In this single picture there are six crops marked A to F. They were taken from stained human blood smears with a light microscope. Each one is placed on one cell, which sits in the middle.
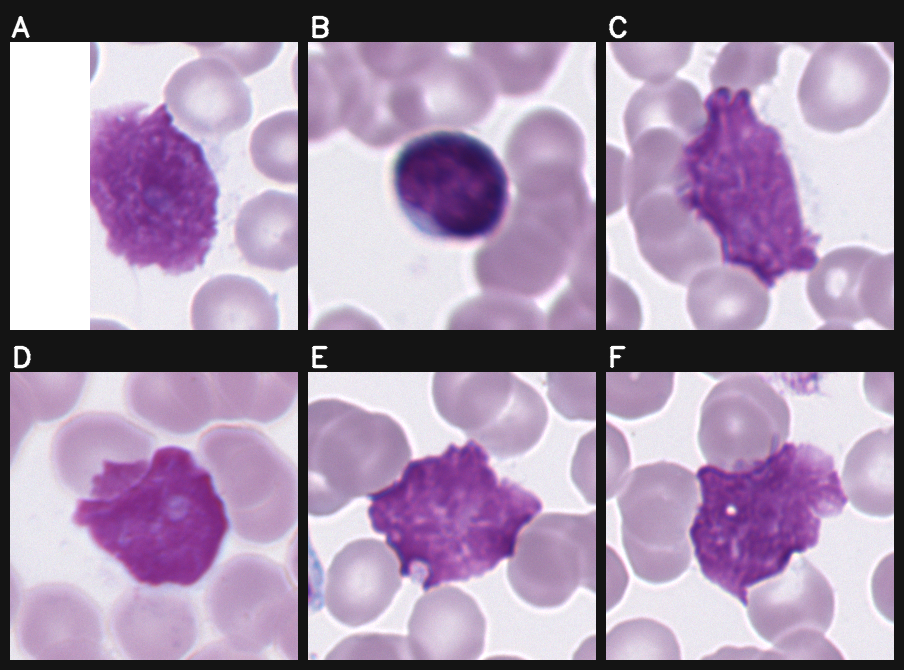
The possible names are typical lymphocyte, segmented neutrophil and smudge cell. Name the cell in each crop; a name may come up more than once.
A: smudge cell
B: typical lymphocyte
C: smudge cell
D: smudge cell
E: smudge cell
F: smudge cell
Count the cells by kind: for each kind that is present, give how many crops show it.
smudge cell: 5
typical lymphocyte: 1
